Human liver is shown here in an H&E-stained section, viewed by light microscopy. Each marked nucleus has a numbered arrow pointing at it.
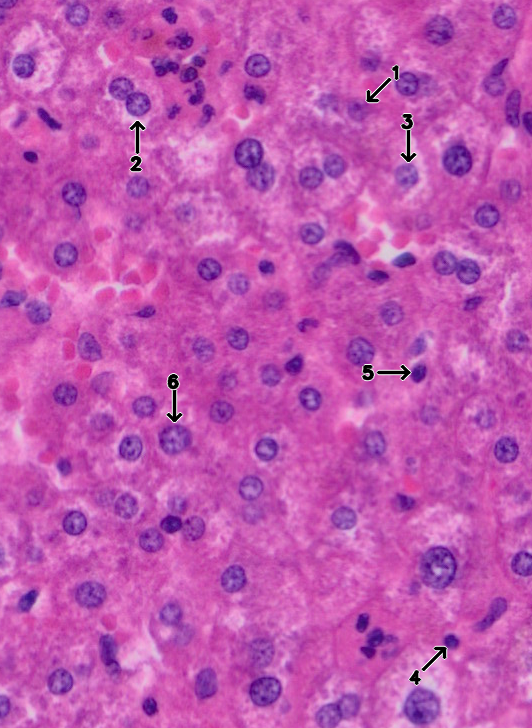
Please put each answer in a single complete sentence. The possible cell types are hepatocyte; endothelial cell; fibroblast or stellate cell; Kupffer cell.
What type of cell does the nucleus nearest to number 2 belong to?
The nearest nucleus to number 2 belongs to a hepatocyte.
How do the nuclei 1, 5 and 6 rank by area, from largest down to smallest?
From largest to smallest, the order is 6, 1, 5.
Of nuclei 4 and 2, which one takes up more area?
Nucleus 2 is the larger one, covering about 3 times the area of nucleus 4.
